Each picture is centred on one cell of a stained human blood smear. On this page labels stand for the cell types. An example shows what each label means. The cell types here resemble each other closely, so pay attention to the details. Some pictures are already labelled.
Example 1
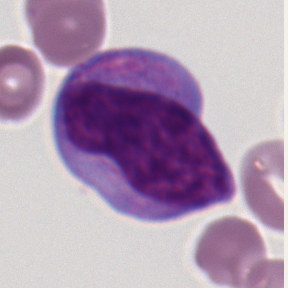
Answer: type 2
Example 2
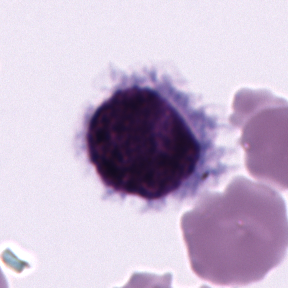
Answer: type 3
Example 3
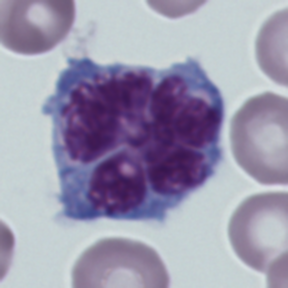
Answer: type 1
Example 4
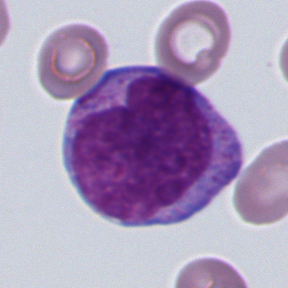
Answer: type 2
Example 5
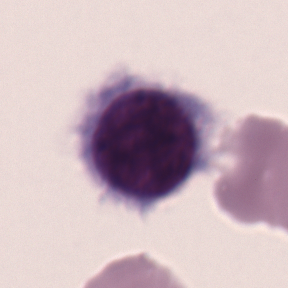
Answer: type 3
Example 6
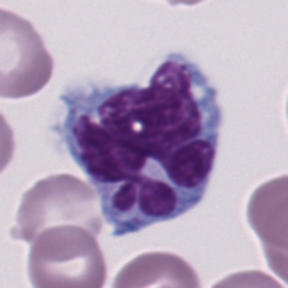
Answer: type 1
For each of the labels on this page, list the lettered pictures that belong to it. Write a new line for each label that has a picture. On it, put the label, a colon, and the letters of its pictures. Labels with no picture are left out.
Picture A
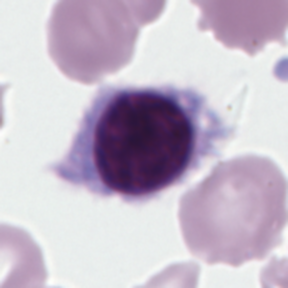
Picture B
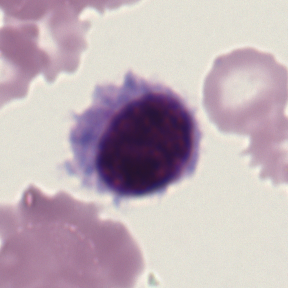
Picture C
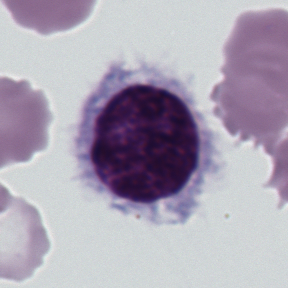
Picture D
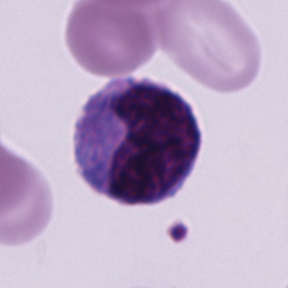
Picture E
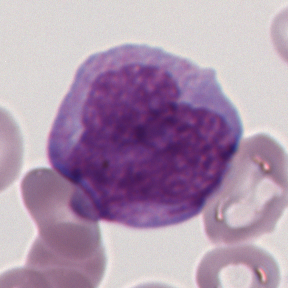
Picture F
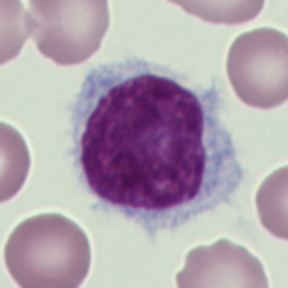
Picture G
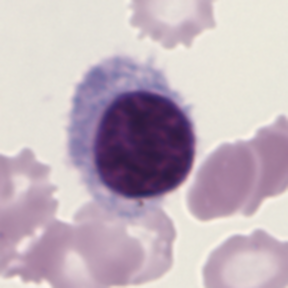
type 2: E
type 3: A, B, C, F, G
type 1: D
